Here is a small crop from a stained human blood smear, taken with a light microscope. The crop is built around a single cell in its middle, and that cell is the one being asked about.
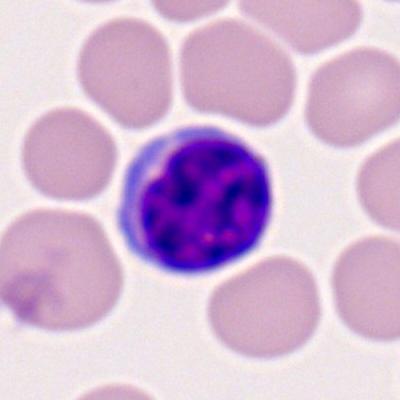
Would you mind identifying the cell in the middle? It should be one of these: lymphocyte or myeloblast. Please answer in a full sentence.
The centrally placed cell is classified as a lymphocyte.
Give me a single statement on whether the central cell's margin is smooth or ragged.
The border of this cell runs smooth and free of any projections.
